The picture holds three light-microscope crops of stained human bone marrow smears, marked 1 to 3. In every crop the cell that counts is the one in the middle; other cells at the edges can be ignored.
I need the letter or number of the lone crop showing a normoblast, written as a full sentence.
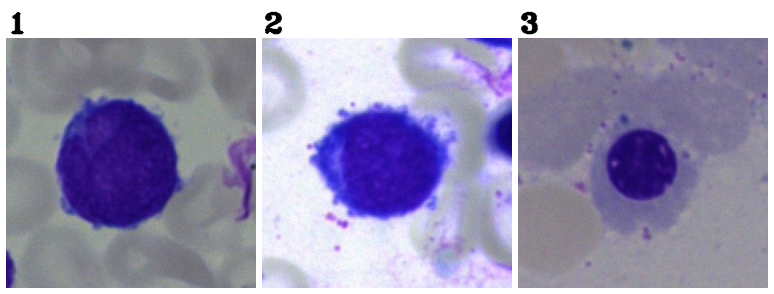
The one showing a normoblast is crop 3.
